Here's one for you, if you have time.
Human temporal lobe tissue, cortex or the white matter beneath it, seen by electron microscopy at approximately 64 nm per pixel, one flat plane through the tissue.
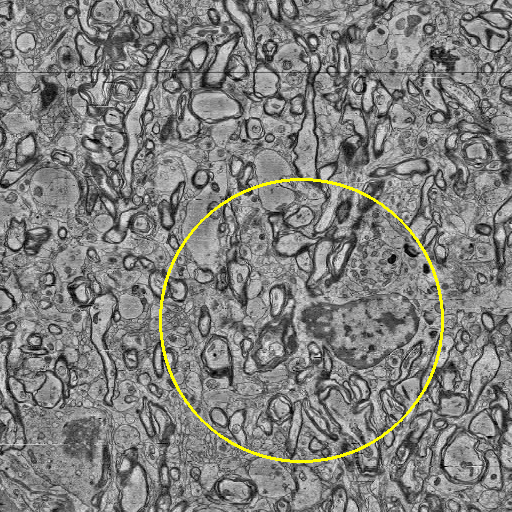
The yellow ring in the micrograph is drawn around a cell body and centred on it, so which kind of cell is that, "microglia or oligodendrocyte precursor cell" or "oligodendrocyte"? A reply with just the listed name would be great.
microglia or oligodendrocyte precursor cell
